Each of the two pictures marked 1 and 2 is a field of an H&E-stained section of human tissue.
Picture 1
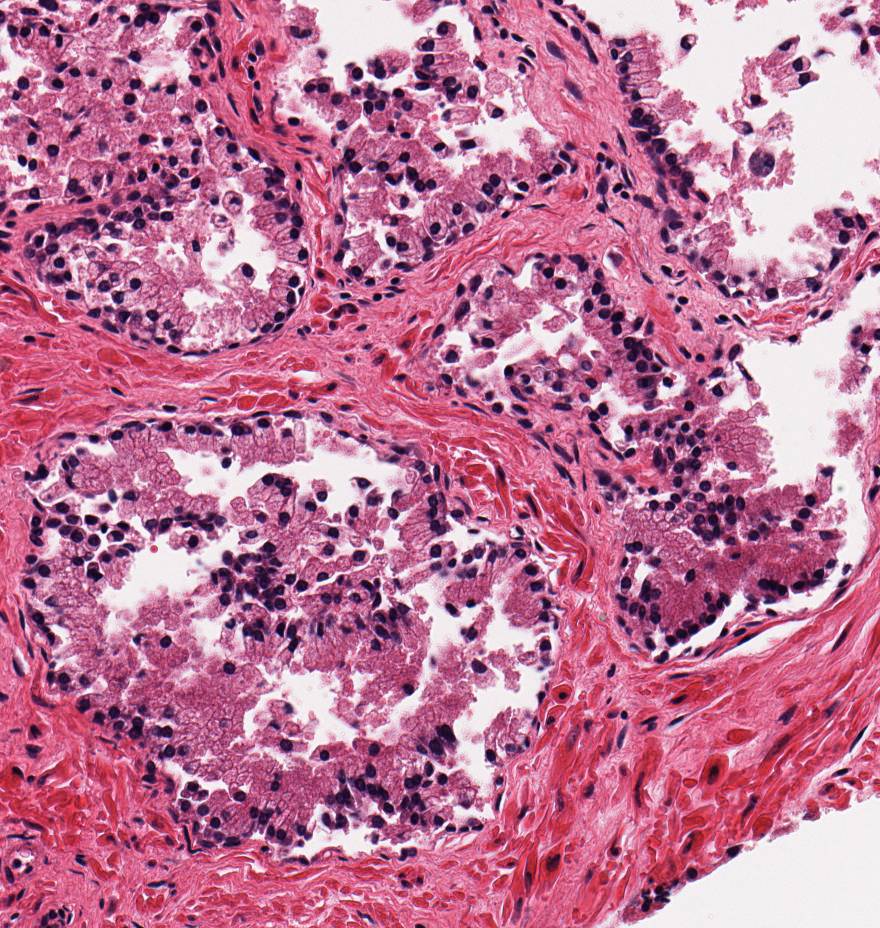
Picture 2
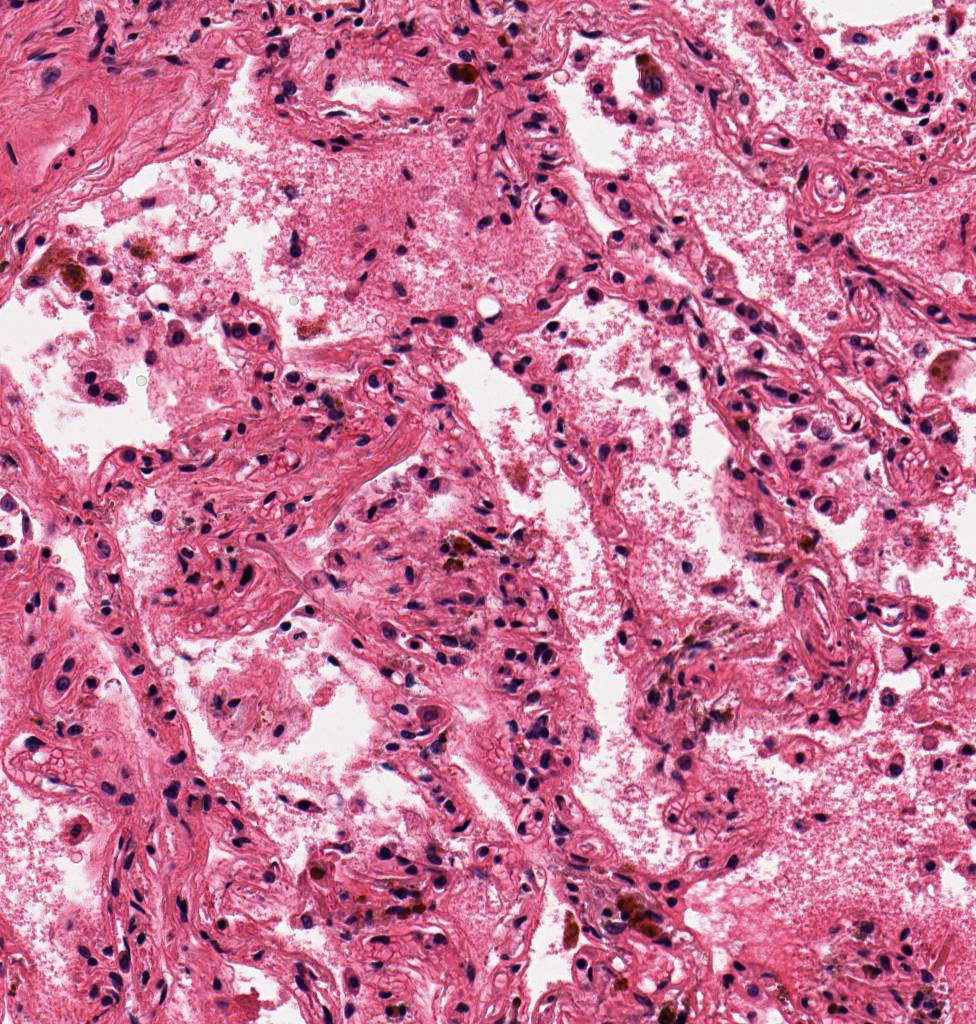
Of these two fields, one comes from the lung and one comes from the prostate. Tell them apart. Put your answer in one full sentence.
Picture 2 comes from the lung, while picture 1 comes from the prostate.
